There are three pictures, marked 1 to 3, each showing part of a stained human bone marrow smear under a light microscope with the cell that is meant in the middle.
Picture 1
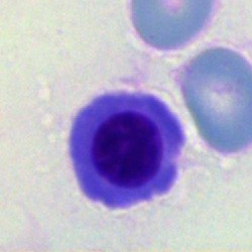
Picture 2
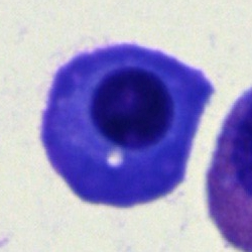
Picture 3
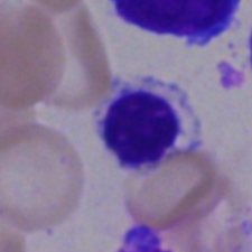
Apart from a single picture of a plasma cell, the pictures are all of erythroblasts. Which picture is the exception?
2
